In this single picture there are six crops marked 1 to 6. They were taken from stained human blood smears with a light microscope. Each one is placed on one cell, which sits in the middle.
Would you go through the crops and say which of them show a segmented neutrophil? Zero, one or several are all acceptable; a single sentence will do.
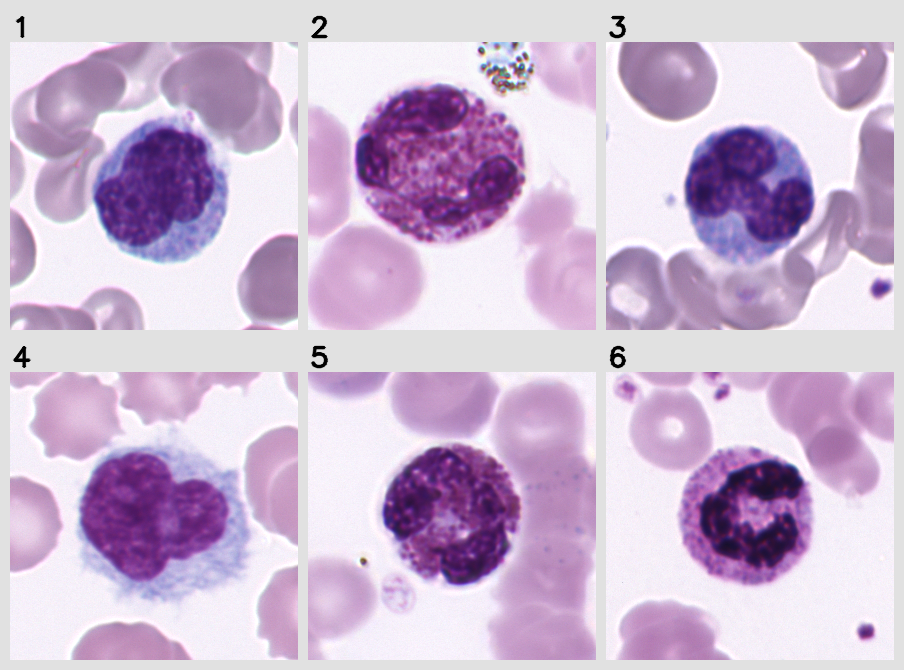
Of all the crops, a segmented neutrophil is found in crop 6 alone.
